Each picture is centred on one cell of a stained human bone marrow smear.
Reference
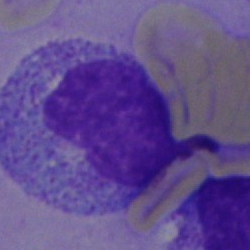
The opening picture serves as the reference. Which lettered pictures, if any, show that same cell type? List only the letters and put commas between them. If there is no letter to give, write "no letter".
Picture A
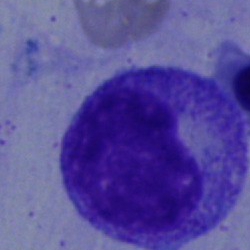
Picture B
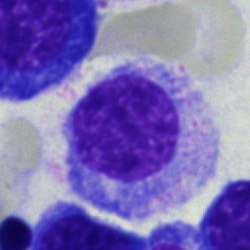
A, B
